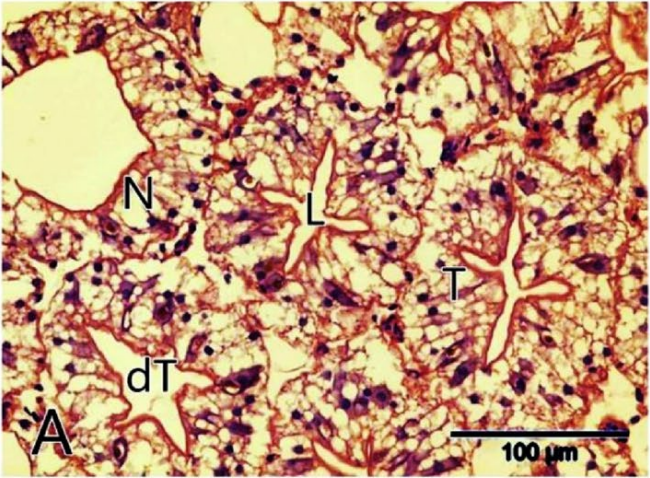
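Hepatopancreas tubules cut in cross-section lie close together, each lined by tall epithelial cells with pale, foamy vacuolated cytoplasm, pink-red cell borders and dark purple rounded nuclei. The cells surround narrow star-shaped lumens, and little tissue lies between neighbouring tubules, as in a normal hepatopancreas.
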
